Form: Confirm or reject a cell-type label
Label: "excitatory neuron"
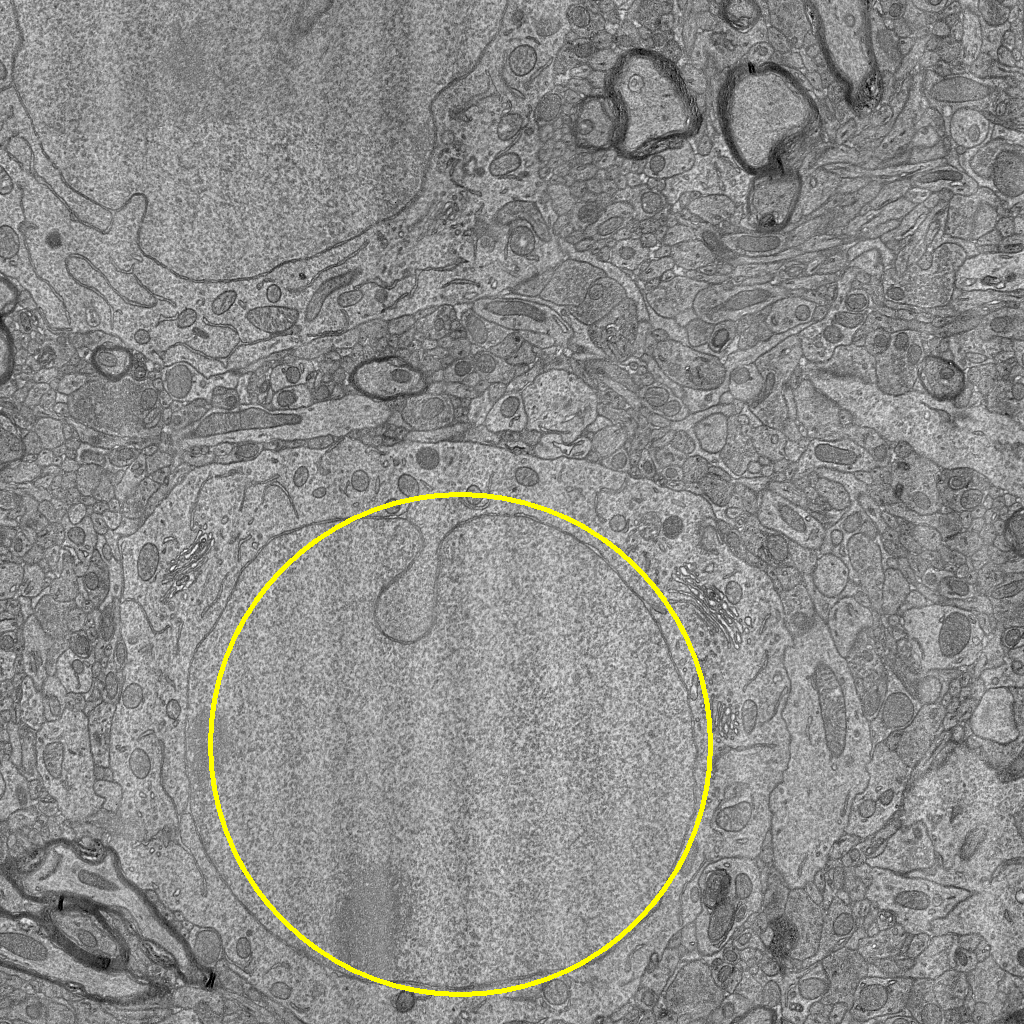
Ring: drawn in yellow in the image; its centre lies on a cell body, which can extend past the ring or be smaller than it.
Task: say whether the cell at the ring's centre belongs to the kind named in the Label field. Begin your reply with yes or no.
Yes, it belongs to that kind.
